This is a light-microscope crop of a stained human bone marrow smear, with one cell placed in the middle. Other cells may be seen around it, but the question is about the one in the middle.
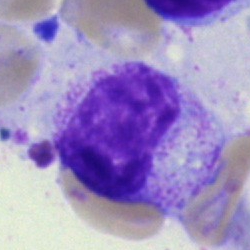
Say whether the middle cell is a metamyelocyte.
yes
